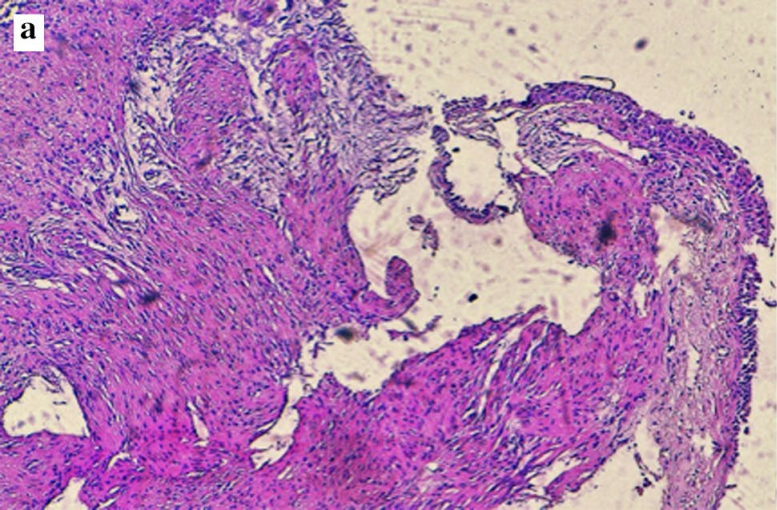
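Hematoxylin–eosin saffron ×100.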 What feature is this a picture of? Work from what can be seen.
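Intersected fascicles. Bundles of elongated cells run in different directions and cross one another. Pink cellular stroma fills most of the field.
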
